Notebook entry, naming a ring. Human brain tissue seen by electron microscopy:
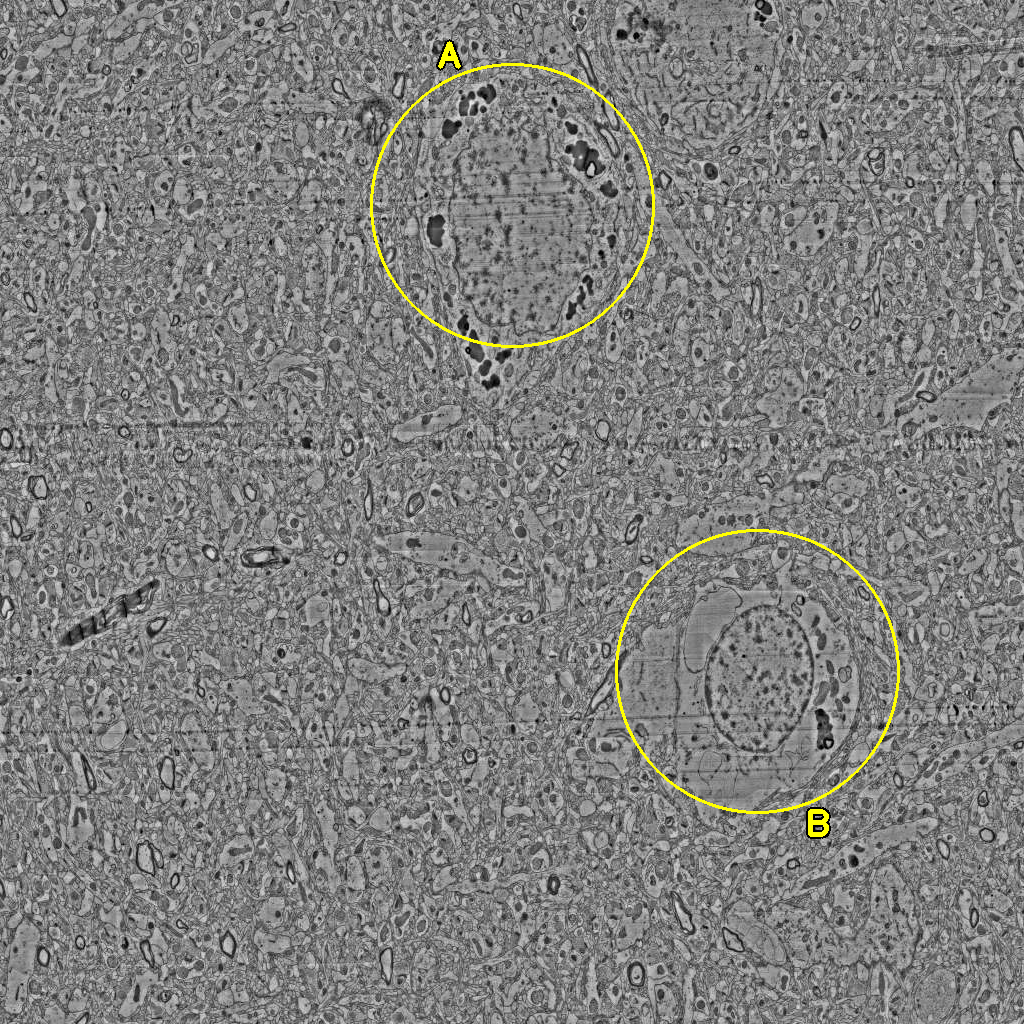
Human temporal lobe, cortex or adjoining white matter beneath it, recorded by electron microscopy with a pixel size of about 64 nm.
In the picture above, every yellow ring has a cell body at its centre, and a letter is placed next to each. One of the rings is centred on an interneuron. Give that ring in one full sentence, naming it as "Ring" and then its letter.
Ring A is the ring whose centre holds the cell asked for.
